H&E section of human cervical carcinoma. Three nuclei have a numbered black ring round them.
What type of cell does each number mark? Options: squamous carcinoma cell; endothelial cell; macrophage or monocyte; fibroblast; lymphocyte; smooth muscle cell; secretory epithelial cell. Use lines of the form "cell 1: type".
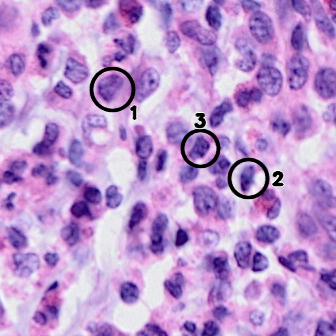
cell 1: macrophage or monocyte
cell 2: lymphocyte
cell 3: lymphocyte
